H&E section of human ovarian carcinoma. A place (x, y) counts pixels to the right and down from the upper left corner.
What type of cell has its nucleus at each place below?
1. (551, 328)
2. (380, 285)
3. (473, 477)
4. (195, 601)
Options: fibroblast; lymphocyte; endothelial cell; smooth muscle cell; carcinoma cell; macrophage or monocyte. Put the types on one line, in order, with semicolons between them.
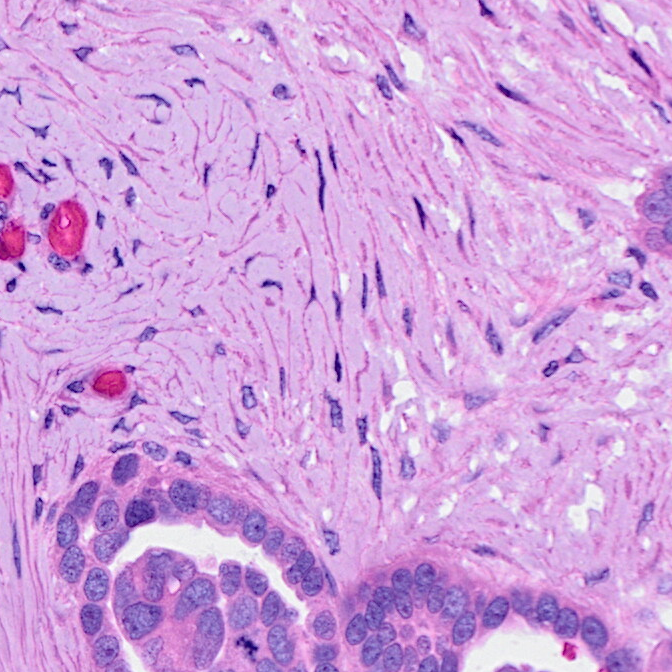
fibroblast; fibroblast; fibroblast; carcinoma cell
